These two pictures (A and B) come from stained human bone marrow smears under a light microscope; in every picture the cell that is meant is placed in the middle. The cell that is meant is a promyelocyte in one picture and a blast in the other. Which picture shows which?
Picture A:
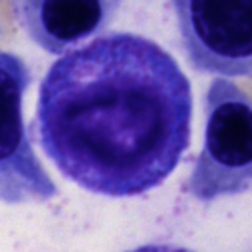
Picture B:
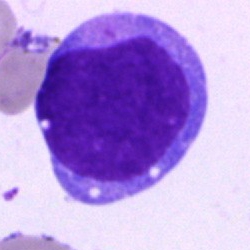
A: promyelocyte
B: blast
